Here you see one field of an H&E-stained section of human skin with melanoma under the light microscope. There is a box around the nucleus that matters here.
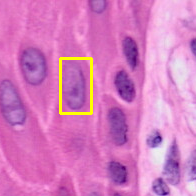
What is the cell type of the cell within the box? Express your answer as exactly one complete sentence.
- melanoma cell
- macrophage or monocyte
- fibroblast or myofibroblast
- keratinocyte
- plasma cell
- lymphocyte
Among the cells in this section, the cell within the box is a keratinocyte.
